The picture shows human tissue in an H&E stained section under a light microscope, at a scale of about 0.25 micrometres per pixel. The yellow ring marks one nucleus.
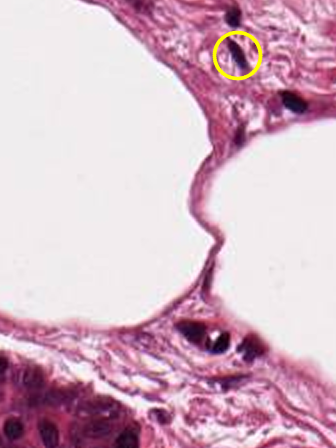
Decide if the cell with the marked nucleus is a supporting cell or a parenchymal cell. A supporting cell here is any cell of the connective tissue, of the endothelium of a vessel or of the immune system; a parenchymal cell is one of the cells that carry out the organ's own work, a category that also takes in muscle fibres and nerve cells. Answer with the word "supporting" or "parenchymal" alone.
supporting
